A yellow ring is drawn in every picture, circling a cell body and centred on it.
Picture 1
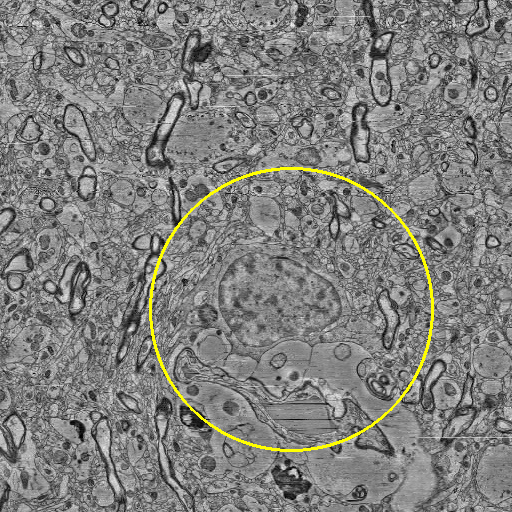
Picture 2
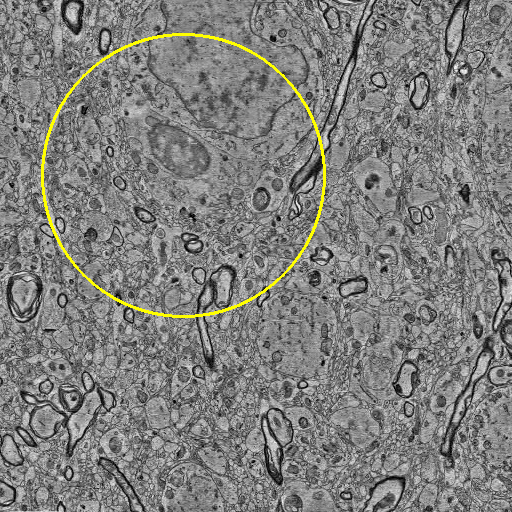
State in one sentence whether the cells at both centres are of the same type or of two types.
The cells at the two ring centres, one per picture, are of the same type.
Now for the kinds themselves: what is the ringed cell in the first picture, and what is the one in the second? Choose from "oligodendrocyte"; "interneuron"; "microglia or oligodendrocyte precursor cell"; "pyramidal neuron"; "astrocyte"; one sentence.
In the first picture and in the second, the ring is centred on an oligodendrocyte.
